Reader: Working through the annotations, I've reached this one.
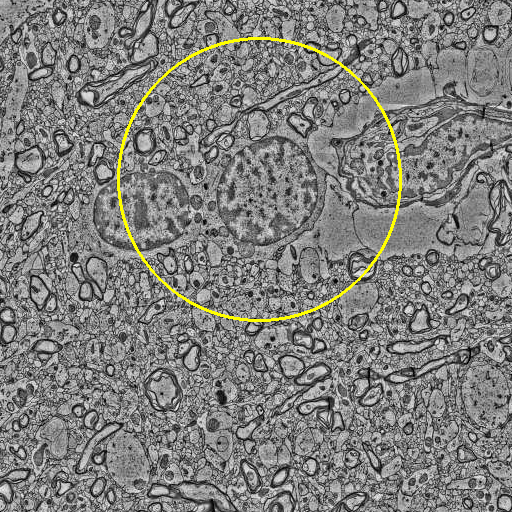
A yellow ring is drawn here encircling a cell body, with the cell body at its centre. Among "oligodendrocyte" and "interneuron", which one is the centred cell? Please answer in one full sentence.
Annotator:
The cell body at the centre of the yellow ring in this image belongs to an oligodendrocyte.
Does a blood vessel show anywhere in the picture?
Yes, one shows.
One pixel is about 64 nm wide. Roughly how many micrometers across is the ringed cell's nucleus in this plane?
In this plane, roughly 7 micrometres across.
